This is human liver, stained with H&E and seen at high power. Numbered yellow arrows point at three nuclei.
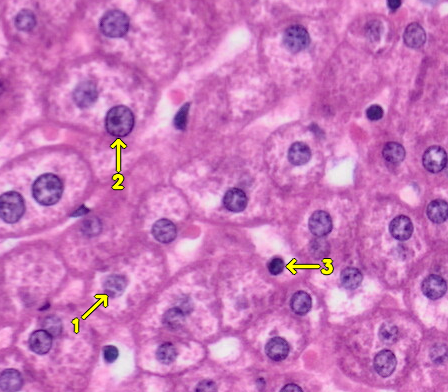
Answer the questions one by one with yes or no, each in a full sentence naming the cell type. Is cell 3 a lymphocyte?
Yes, exactly, the cell numbered 3 is a lymphocyte.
